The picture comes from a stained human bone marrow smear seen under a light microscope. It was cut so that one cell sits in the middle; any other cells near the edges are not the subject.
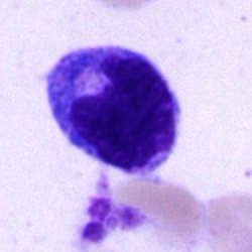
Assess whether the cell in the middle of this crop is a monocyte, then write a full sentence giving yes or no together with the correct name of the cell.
Yes, the cell centred in the field of view is a monocyte.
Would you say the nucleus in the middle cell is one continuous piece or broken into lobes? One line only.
Just one compact nuclear mass here, round, oval or kidney-shaped.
